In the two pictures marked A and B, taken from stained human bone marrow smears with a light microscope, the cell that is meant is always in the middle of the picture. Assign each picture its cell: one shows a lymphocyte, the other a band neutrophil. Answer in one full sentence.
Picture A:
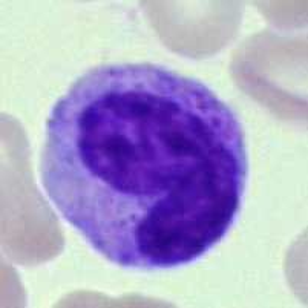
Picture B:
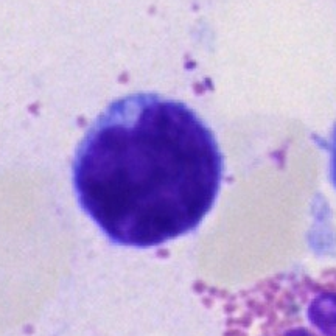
Picture B shows a lymphocyte, while picture A shows a band neutrophil.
